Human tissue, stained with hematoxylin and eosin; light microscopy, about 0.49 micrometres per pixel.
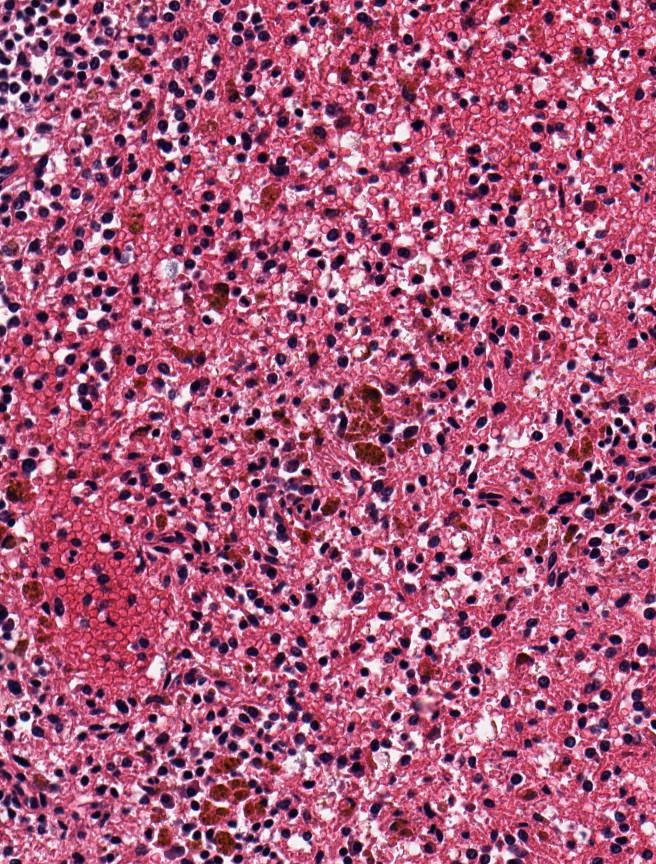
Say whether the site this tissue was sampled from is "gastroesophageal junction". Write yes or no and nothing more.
no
